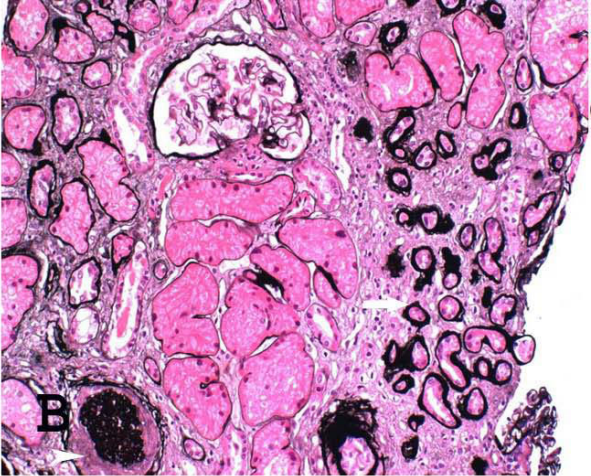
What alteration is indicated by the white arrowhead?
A: Global wrinkling and sclerosis of a glomerulus.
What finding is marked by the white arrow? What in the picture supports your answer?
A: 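Tubular atrophy and interstitial fibrosis. Small tubules with thick black-outlined basement membranes lie close together. Pale fibrous tissue widens the spaces between them.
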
